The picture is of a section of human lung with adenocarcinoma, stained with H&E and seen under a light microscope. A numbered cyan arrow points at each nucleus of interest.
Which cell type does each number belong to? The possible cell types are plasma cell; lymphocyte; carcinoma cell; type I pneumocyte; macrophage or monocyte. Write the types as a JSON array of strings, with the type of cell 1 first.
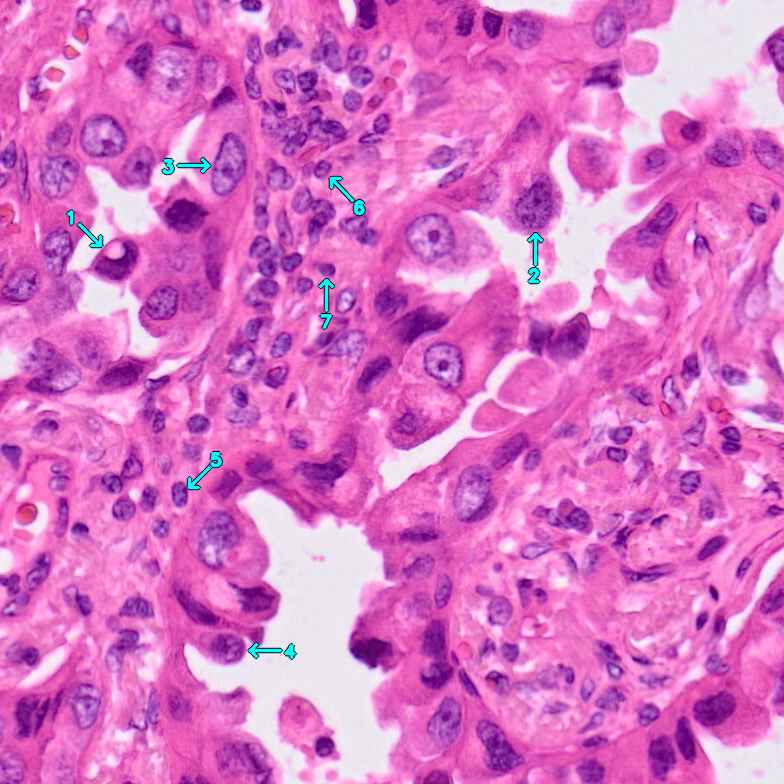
["carcinoma cell", "carcinoma cell", "carcinoma cell", "carcinoma cell", "lymphocyte", "lymphocyte", "lymphocyte"]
